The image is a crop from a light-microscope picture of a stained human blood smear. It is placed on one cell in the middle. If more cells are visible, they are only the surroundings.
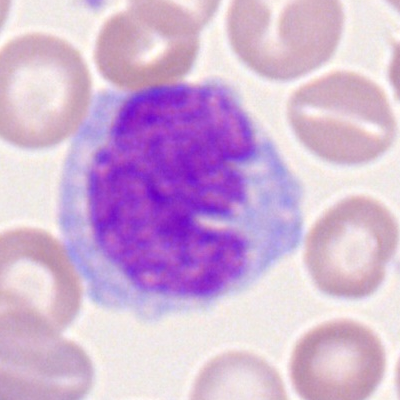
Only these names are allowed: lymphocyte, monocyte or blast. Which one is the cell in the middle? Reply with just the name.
monocyte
